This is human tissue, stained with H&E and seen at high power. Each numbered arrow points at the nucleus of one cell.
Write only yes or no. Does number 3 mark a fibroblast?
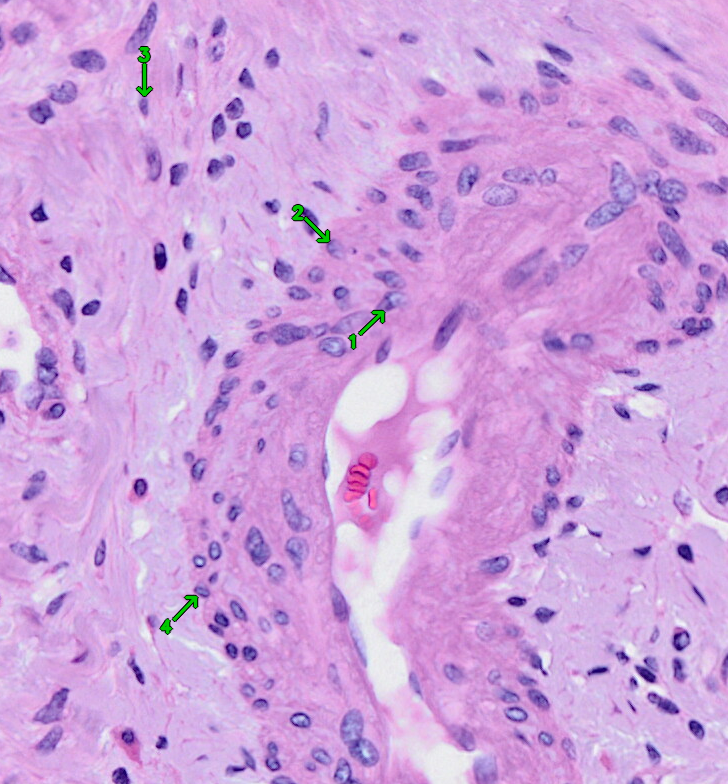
yes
